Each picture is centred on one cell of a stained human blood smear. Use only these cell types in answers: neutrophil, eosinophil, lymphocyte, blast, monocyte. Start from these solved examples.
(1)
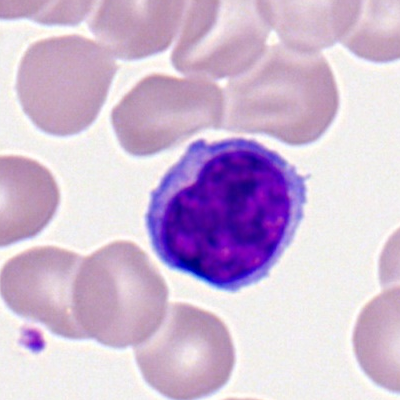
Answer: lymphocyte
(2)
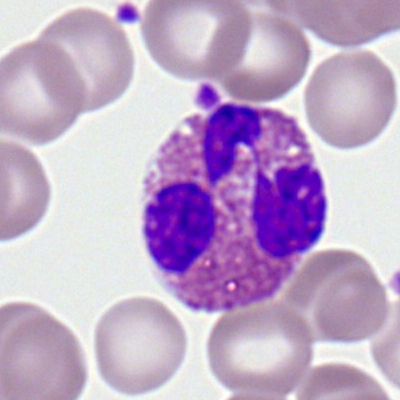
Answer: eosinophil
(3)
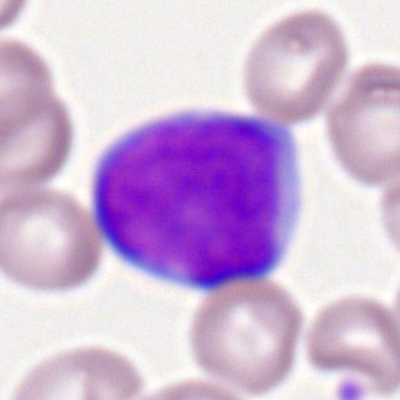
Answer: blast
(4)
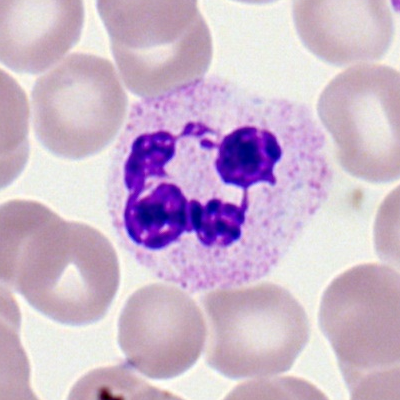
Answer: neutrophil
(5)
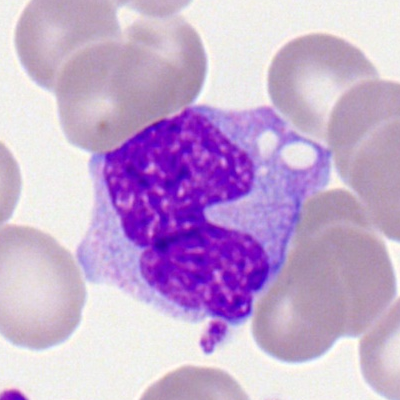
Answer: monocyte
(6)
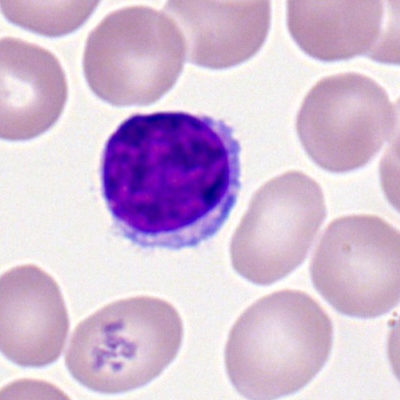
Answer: lymphocyte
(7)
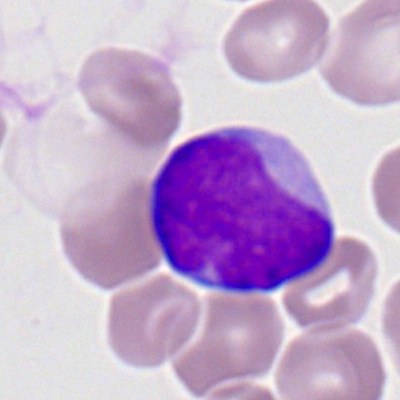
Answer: blast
